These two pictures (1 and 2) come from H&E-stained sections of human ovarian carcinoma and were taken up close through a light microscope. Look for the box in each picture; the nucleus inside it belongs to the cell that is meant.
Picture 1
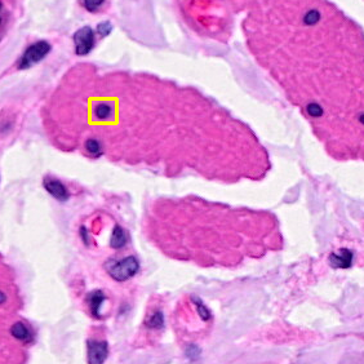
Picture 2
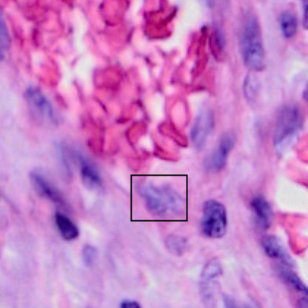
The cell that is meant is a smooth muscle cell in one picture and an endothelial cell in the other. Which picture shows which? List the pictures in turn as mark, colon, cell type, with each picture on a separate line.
1: smooth muscle cell
2: endothelial cell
